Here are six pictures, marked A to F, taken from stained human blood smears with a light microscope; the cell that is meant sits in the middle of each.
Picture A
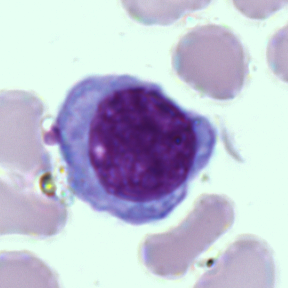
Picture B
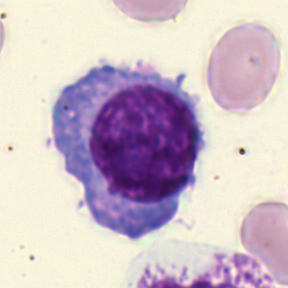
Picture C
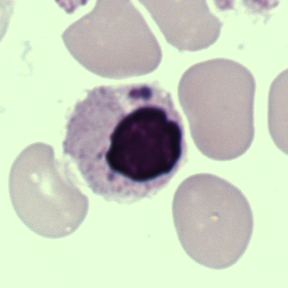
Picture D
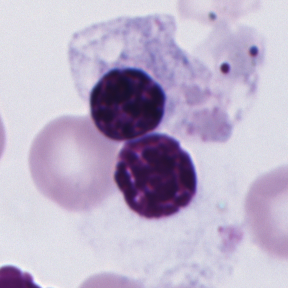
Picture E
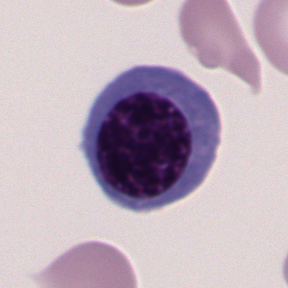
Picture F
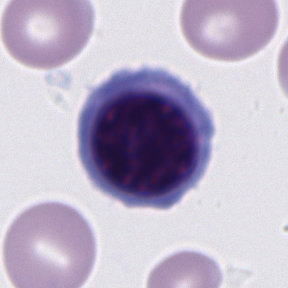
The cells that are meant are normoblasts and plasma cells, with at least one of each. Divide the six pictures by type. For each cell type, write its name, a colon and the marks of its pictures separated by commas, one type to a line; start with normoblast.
normoblast: C, D, E, F
plasma cell: A, B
